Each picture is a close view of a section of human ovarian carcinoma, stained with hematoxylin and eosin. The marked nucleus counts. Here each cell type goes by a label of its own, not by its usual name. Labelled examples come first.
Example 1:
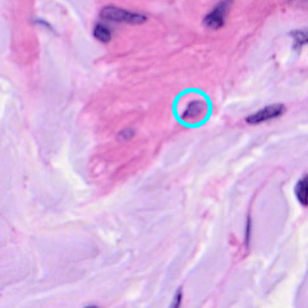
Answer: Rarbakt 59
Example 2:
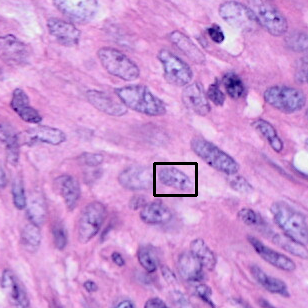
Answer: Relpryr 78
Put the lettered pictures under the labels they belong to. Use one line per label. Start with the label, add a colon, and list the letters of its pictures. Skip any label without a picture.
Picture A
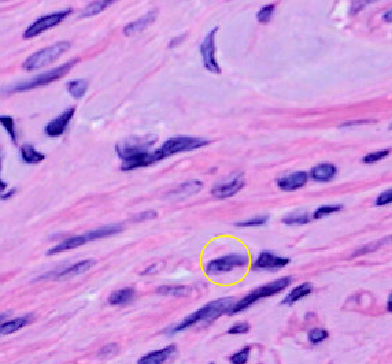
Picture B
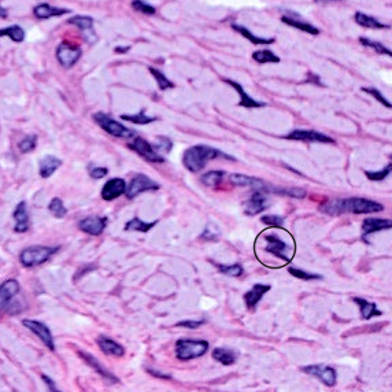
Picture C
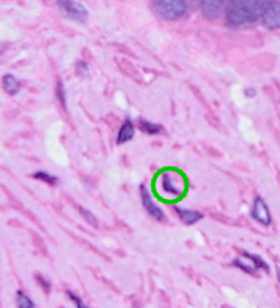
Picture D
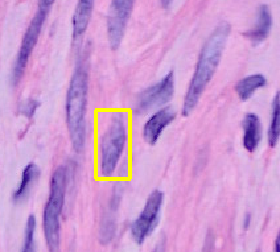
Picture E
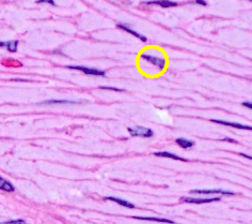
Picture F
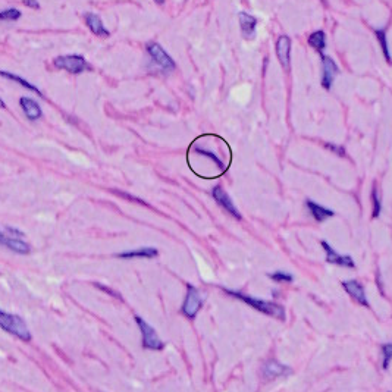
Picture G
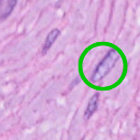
Rarbakt 59: A, D
Relpryr 78: B, C, E, F, G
